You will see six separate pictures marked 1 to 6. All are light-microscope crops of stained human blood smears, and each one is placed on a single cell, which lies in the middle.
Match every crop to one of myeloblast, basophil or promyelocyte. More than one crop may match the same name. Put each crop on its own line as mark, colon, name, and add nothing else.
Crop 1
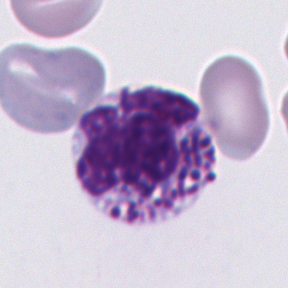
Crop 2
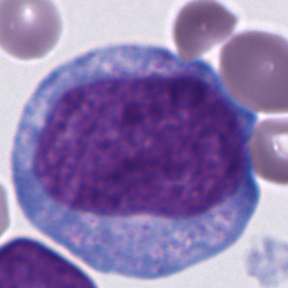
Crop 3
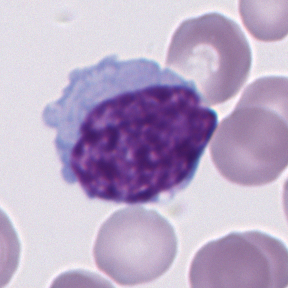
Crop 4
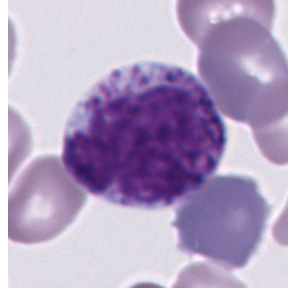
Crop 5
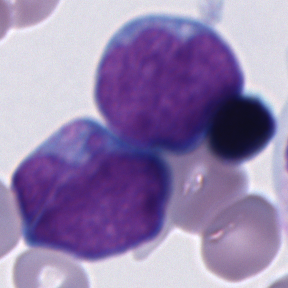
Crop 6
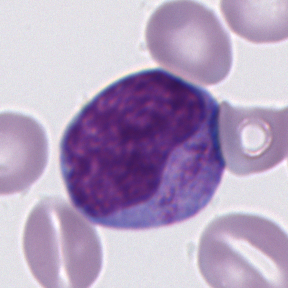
1: basophil
2: promyelocyte
3: myeloblast
4: basophil
5: myeloblast
6: promyelocyte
